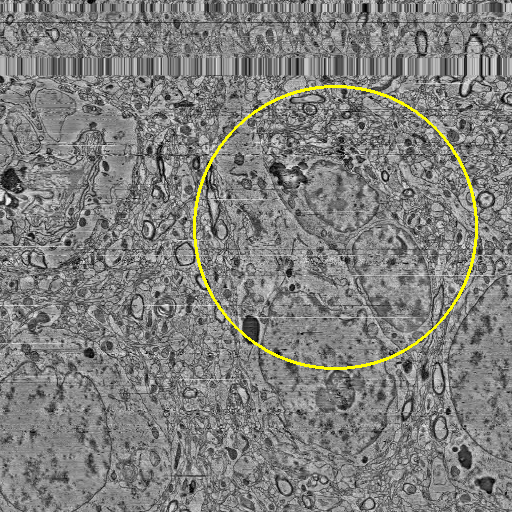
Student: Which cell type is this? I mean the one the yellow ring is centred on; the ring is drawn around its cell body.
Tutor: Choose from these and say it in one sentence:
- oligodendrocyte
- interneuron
The cell the ring is centred on is an oligodendrocyte.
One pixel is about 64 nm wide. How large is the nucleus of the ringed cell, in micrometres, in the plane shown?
In this plane the nucleus measures roughly 6 by 5 micrometers.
